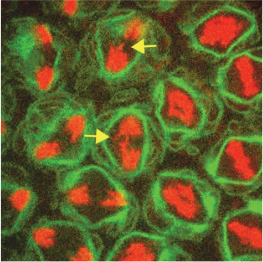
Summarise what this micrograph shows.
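Densely packed syncytial embryo nuclei in anaphase, each spindle region outlined by a green reticular ring with red chromatin moving toward the two poles. In several spindles red chromatin stays stretched across the middle between the separating masses, as lagging chromosomes.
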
